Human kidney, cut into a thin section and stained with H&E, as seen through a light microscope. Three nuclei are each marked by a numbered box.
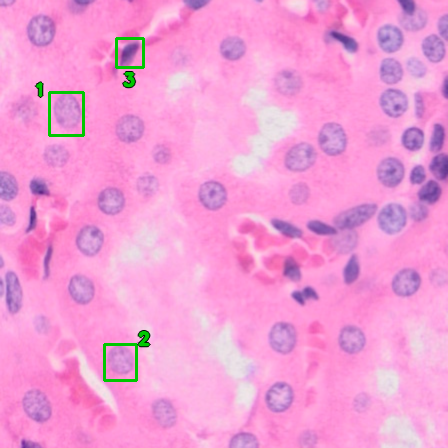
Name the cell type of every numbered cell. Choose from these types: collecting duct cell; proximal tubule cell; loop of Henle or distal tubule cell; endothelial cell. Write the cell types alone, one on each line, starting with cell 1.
proximal tubule cell
proximal tubule cell
endothelial cell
